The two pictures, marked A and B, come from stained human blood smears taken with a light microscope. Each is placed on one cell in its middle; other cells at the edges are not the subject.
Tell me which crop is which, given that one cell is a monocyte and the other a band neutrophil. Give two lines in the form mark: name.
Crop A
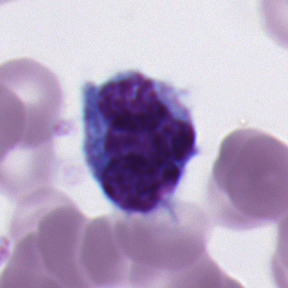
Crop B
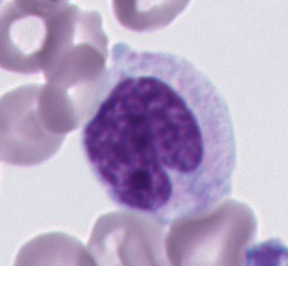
A: monocyte
B: band neutrophil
